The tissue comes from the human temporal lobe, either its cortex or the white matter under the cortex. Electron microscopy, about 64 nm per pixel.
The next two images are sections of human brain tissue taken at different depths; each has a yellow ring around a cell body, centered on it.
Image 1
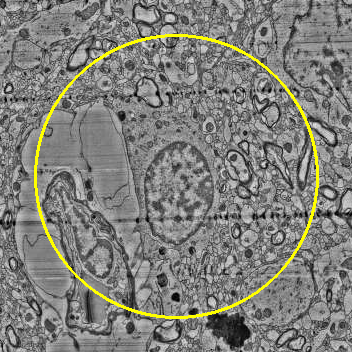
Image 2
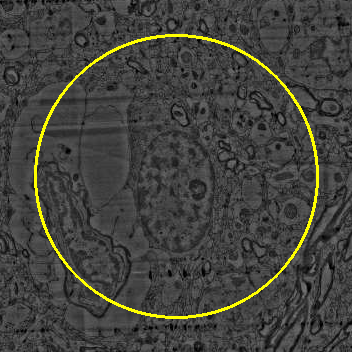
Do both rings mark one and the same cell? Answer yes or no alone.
yes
